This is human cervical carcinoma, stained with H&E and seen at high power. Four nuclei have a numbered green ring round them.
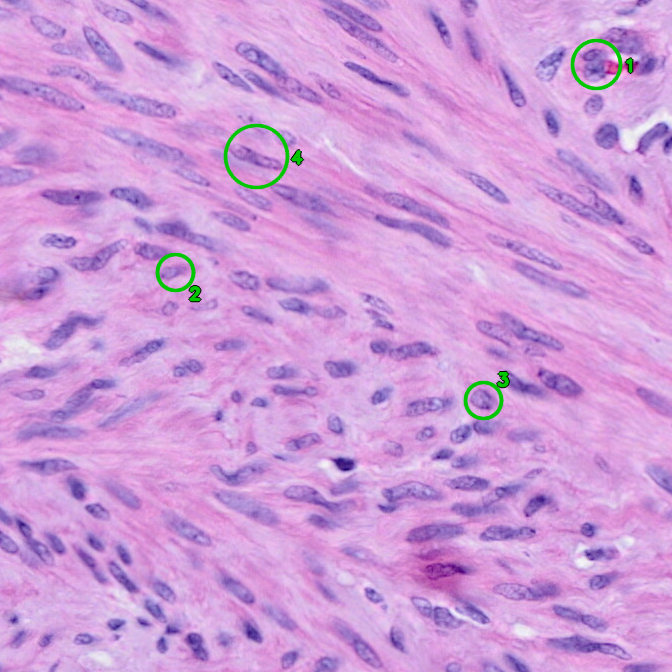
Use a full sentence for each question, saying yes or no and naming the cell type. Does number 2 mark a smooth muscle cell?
Yes, looking at number 2, that cell is a smooth muscle cell.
